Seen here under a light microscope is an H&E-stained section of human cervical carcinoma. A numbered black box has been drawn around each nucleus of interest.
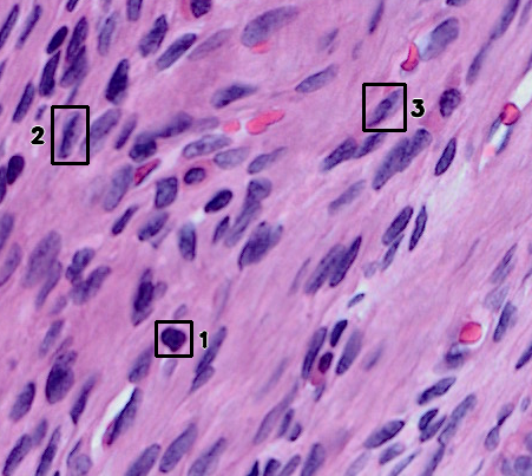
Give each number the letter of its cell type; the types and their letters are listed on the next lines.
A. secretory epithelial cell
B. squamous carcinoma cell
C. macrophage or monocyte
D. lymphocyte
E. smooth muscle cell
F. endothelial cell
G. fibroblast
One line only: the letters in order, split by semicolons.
D; G; F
